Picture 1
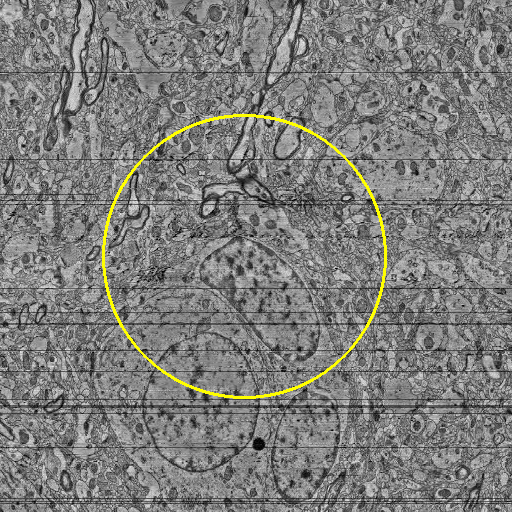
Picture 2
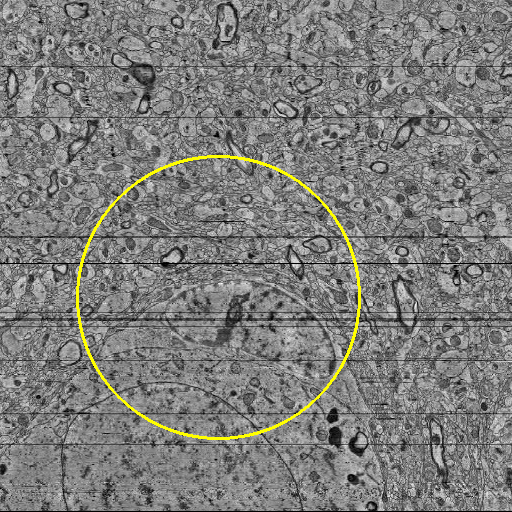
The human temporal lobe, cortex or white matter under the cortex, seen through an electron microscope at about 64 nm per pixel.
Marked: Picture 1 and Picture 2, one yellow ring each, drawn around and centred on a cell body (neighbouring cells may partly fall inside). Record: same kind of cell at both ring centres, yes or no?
yes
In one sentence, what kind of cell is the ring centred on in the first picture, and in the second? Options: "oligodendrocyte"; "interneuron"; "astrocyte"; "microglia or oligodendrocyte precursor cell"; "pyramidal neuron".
In both pictures the ring is centred on a microglial cell or oligodendrocyte precursor cell.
